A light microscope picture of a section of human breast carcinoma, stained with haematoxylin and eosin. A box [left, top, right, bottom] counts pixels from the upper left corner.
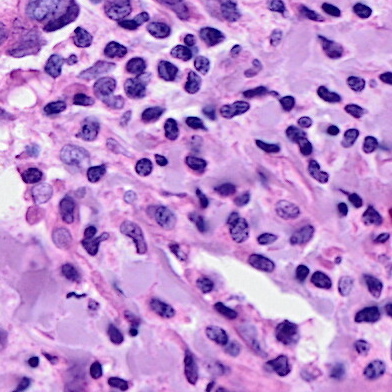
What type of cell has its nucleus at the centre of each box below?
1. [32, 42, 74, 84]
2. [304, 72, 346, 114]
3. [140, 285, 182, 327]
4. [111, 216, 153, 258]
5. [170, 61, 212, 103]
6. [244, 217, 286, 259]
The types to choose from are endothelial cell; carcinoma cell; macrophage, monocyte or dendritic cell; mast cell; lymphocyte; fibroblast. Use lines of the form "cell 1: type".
cell 1: lymphocyte
cell 2: lymphocyte
cell 3: mast cell
cell 4: macrophage, monocyte or dendritic cell
cell 5: lymphocyte
cell 6: lymphocyte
